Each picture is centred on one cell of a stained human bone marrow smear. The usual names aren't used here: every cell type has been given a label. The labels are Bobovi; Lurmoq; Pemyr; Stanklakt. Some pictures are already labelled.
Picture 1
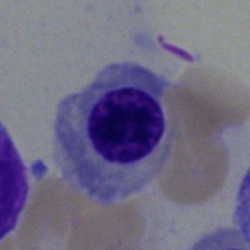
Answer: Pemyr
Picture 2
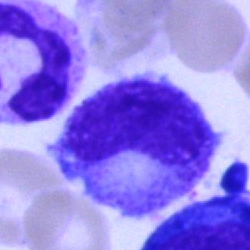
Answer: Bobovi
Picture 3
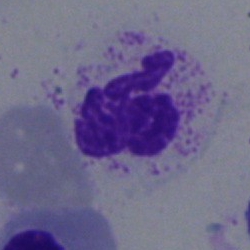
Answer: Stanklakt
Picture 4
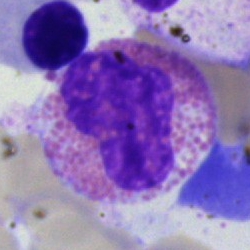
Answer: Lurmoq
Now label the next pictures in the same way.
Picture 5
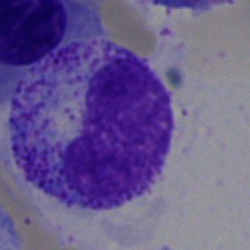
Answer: Bobovi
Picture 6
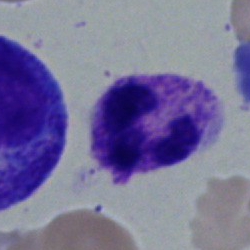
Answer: Stanklakt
